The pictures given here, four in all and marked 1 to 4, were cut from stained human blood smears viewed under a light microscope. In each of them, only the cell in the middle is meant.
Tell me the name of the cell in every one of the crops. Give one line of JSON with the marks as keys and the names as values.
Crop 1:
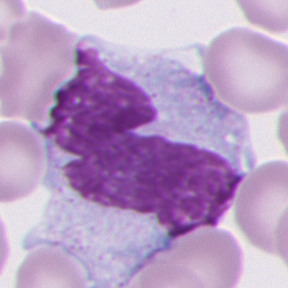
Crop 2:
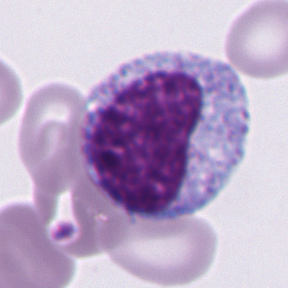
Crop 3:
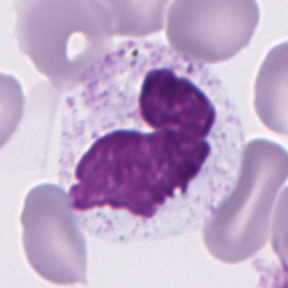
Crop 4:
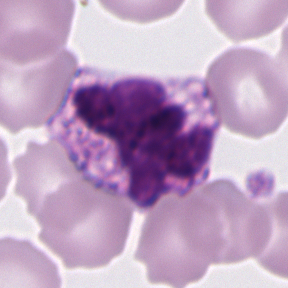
{"1": "monocyte", "2": "myelocyte", "3": "band neutrophil", "4": "basophil"}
